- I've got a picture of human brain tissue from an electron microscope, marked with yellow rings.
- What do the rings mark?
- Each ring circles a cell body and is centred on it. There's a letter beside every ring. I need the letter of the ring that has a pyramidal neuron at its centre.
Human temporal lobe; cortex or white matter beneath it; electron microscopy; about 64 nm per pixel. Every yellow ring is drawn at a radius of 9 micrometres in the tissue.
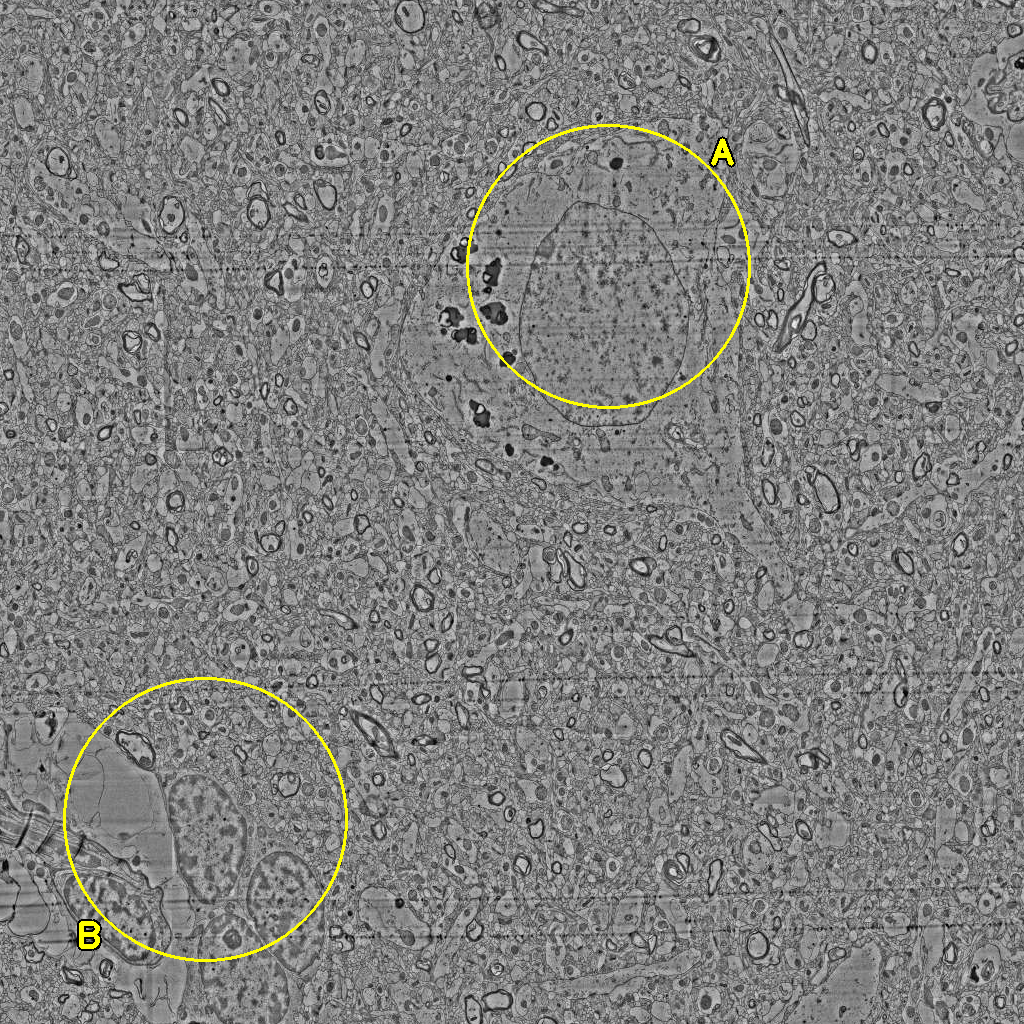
A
